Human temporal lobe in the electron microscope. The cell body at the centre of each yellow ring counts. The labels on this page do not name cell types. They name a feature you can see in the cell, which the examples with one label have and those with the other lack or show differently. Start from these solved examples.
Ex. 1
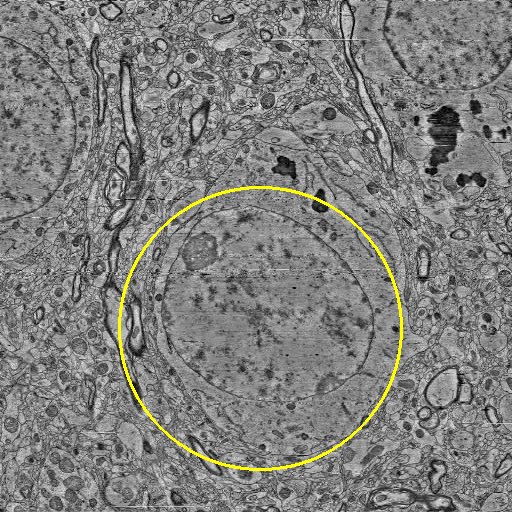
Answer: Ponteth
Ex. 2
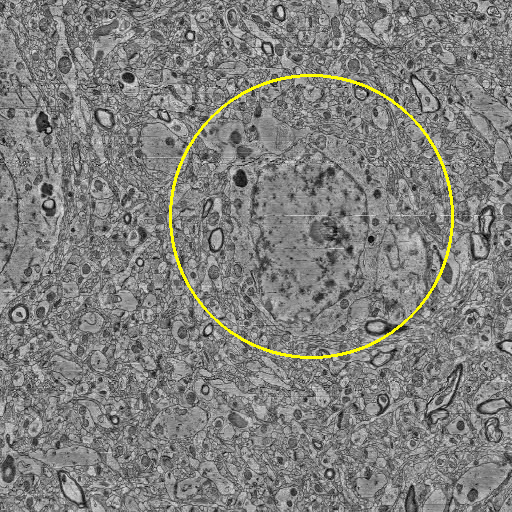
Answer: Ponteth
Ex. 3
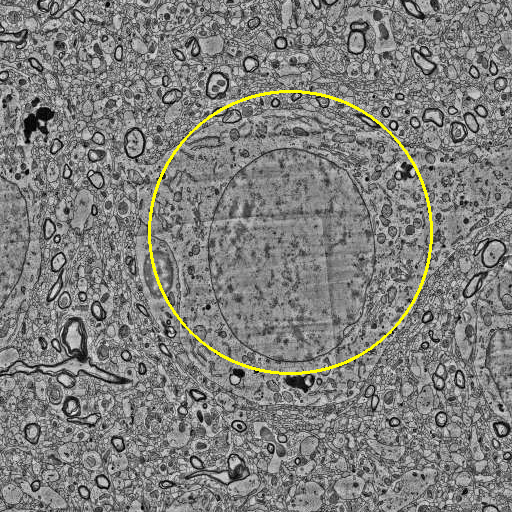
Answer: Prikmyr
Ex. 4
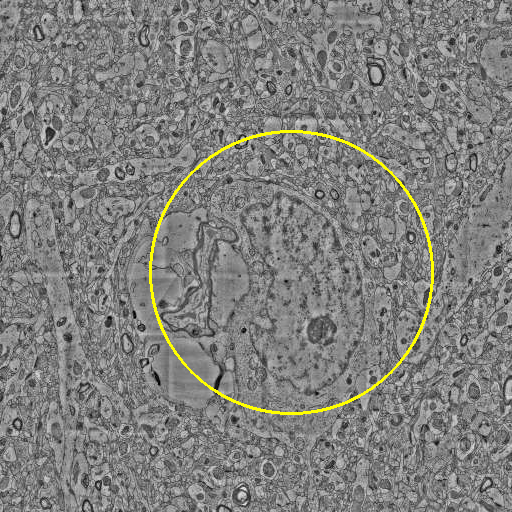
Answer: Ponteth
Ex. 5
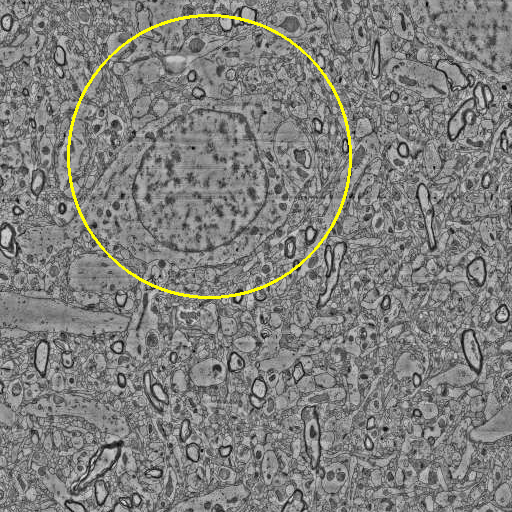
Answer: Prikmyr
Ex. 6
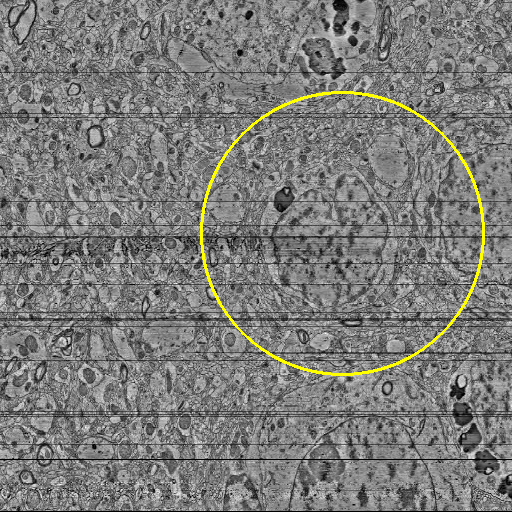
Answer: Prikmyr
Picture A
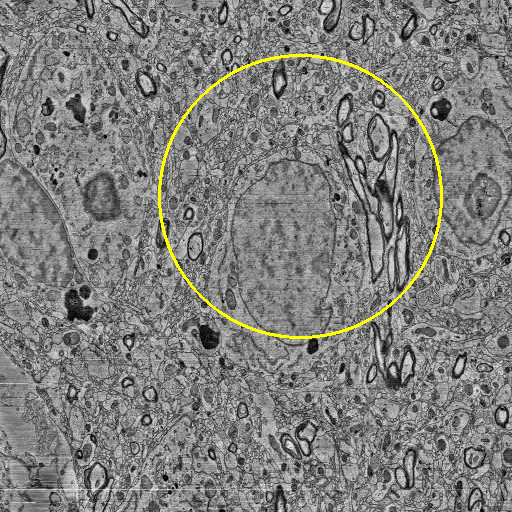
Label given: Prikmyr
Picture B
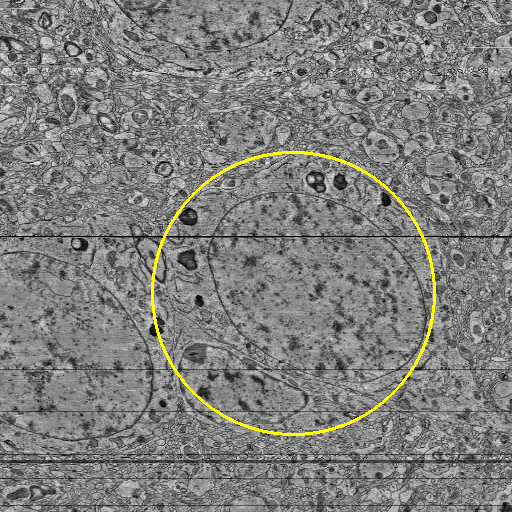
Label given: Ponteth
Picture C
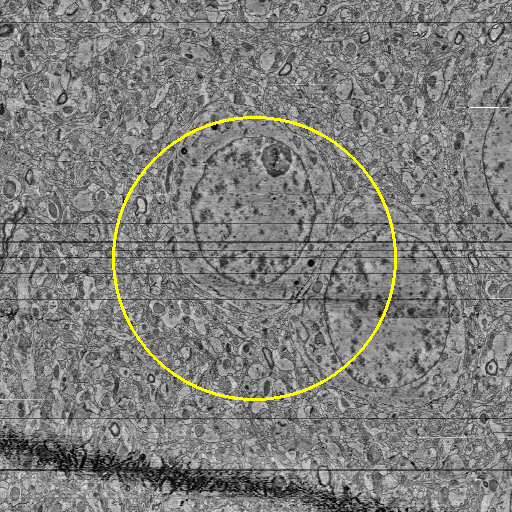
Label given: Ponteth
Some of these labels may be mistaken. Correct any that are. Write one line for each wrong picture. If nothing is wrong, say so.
B: not Ponteth but Prikmyr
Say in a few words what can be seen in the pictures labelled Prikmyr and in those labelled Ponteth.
Seen in Prikmyr: no nucleolus seen; seen in Ponteth: nucleolus seen.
